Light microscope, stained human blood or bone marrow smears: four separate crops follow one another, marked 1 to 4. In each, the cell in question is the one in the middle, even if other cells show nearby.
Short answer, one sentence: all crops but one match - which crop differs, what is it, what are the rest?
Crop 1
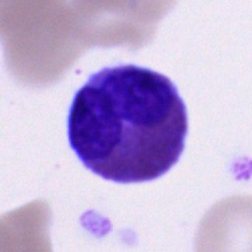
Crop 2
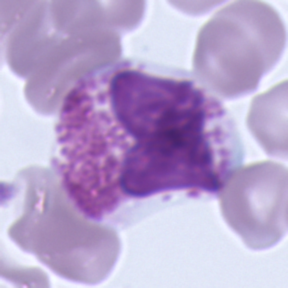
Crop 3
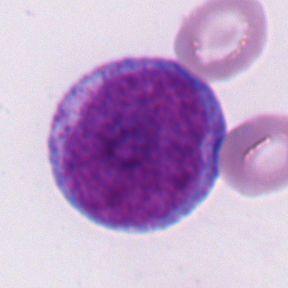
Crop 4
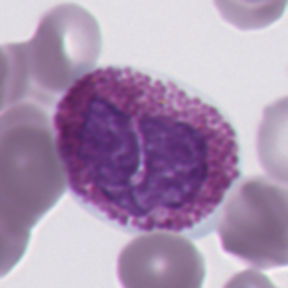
Identified in crop 3 is a promyelocyte, whereas the other crops all show eosinophils.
